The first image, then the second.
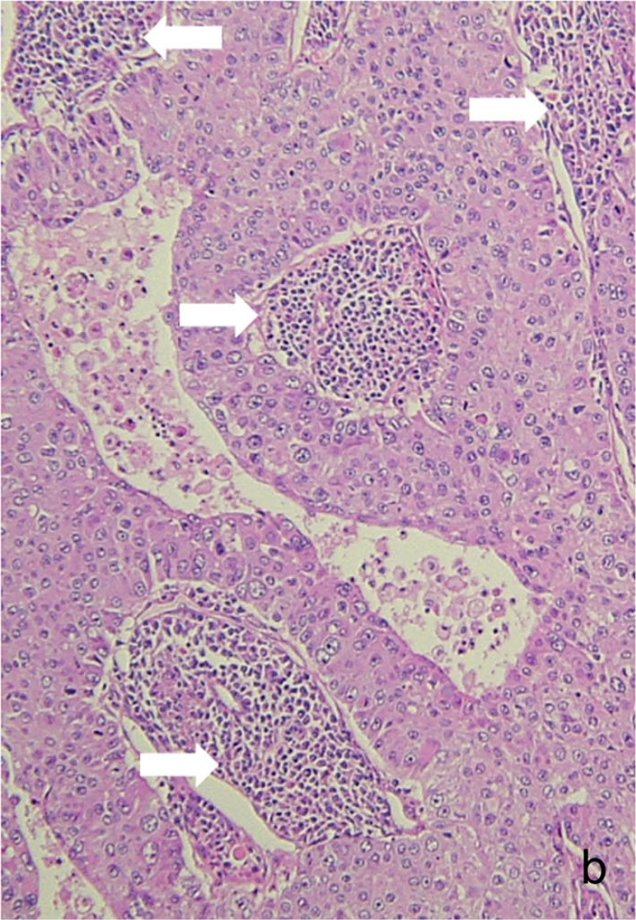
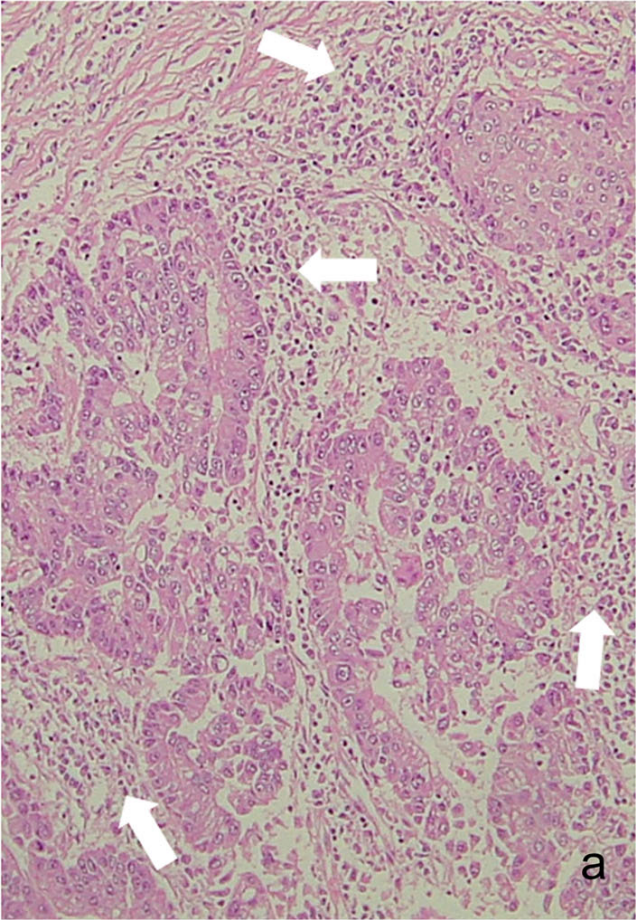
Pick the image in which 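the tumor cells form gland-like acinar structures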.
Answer: The second image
